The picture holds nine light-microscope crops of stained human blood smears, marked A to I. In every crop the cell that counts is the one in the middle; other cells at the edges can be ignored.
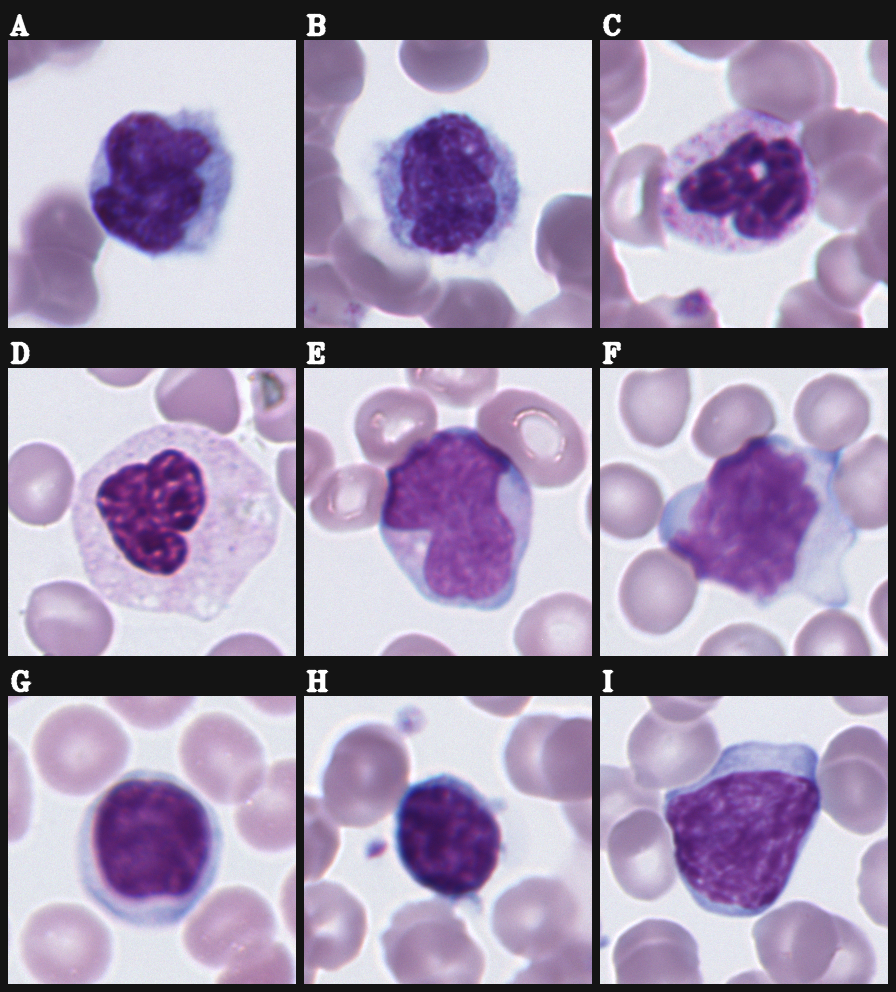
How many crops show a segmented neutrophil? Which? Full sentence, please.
Here, two crops in all show segmented neutrophils: C and D.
